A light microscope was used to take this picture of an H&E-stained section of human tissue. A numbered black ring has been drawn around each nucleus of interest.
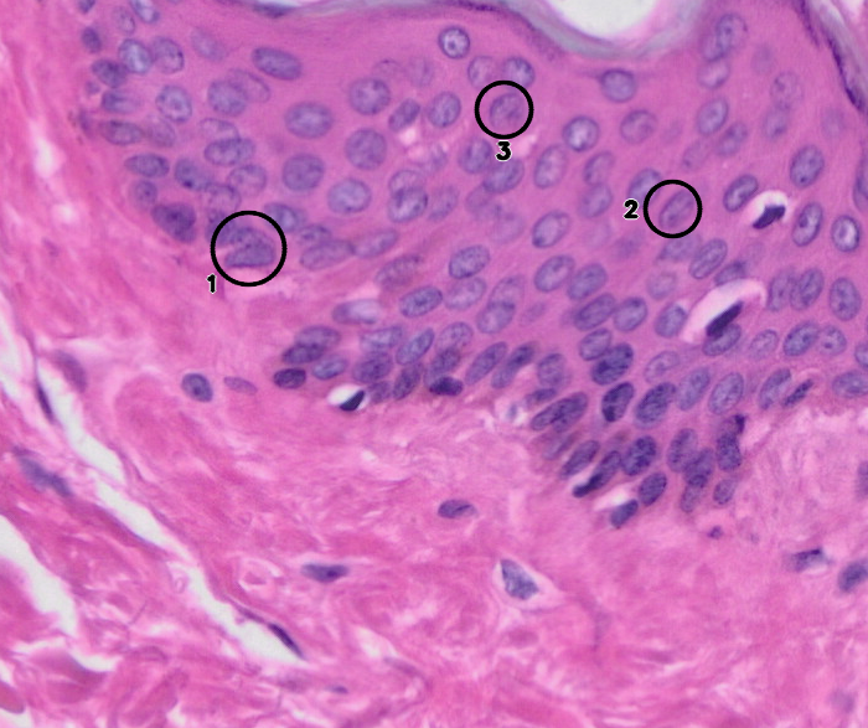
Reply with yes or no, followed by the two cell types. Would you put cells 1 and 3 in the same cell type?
No, cell 1 is a basal keratinocyte, with cell 3 being a suprabasal keratinocyte.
